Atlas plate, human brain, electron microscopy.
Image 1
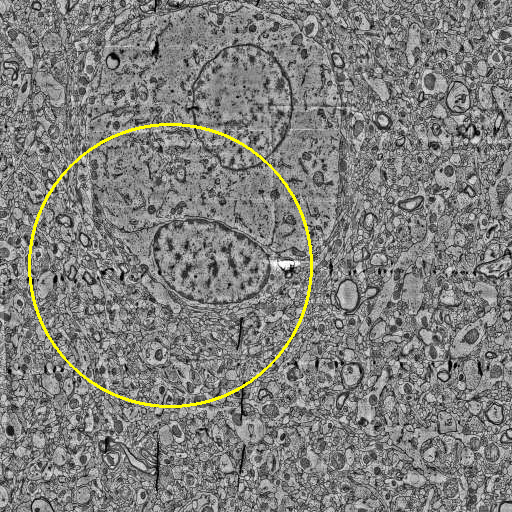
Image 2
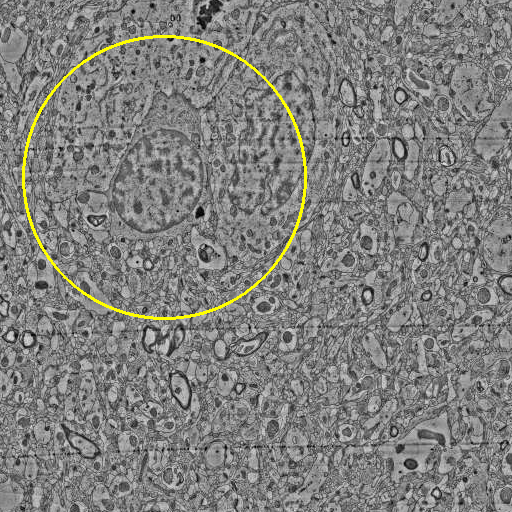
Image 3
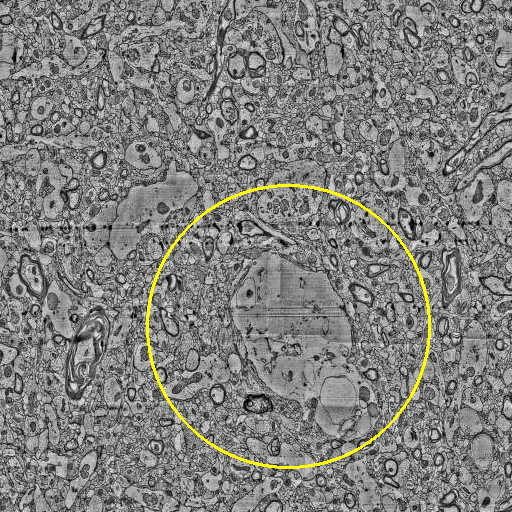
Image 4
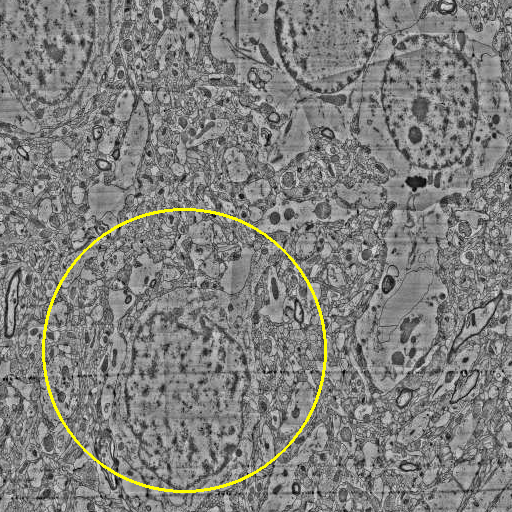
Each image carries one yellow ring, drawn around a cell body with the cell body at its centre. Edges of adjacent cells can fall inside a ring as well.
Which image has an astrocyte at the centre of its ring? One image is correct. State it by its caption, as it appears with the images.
Image 3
